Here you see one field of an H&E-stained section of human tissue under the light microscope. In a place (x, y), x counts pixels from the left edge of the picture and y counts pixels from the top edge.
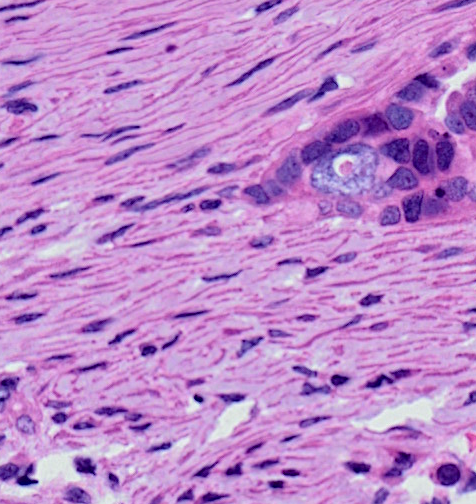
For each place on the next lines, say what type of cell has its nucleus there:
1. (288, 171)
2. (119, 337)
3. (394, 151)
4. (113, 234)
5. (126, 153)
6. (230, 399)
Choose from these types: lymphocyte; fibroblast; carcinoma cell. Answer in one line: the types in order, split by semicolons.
carcinoma cell; fibroblast; carcinoma cell; fibroblast; fibroblast; fibroblast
